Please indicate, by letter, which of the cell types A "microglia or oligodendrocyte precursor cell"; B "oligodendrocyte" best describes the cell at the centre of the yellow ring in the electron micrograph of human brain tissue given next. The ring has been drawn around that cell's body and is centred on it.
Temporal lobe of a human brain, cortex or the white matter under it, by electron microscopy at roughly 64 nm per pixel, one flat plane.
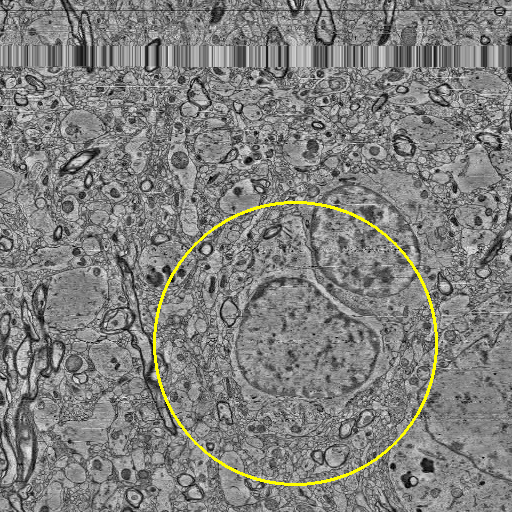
A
